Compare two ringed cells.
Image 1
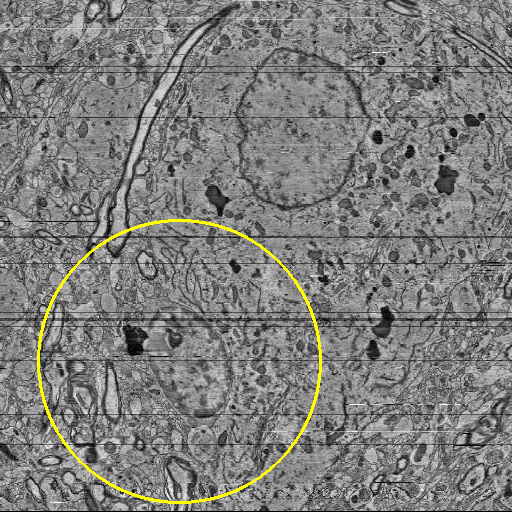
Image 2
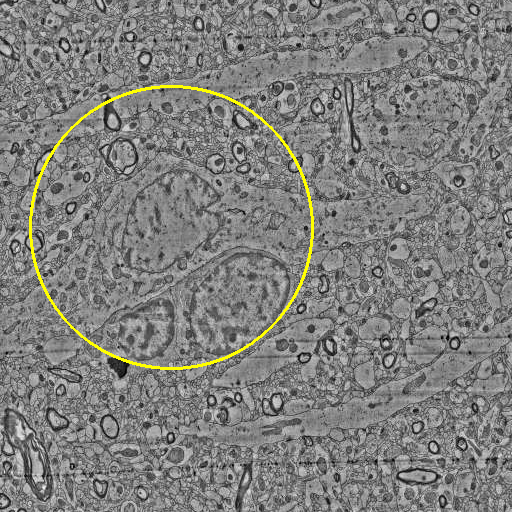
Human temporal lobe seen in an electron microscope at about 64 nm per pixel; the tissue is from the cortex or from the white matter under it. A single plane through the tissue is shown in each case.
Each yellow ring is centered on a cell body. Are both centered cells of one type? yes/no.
no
